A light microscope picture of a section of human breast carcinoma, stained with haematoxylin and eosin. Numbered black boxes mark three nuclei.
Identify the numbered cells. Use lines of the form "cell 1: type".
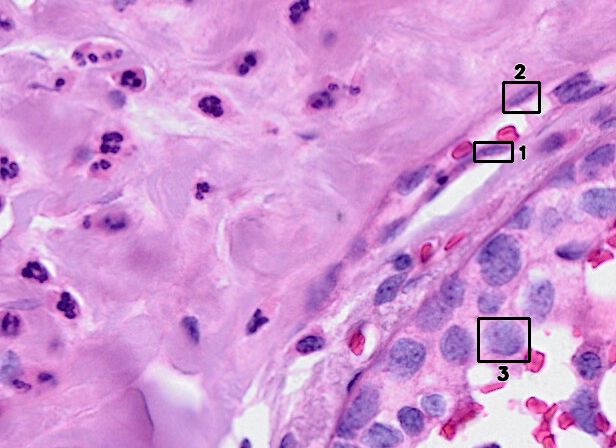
cell 1: endothelial cell
cell 2: endothelial cell
cell 3: carcinoma cell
